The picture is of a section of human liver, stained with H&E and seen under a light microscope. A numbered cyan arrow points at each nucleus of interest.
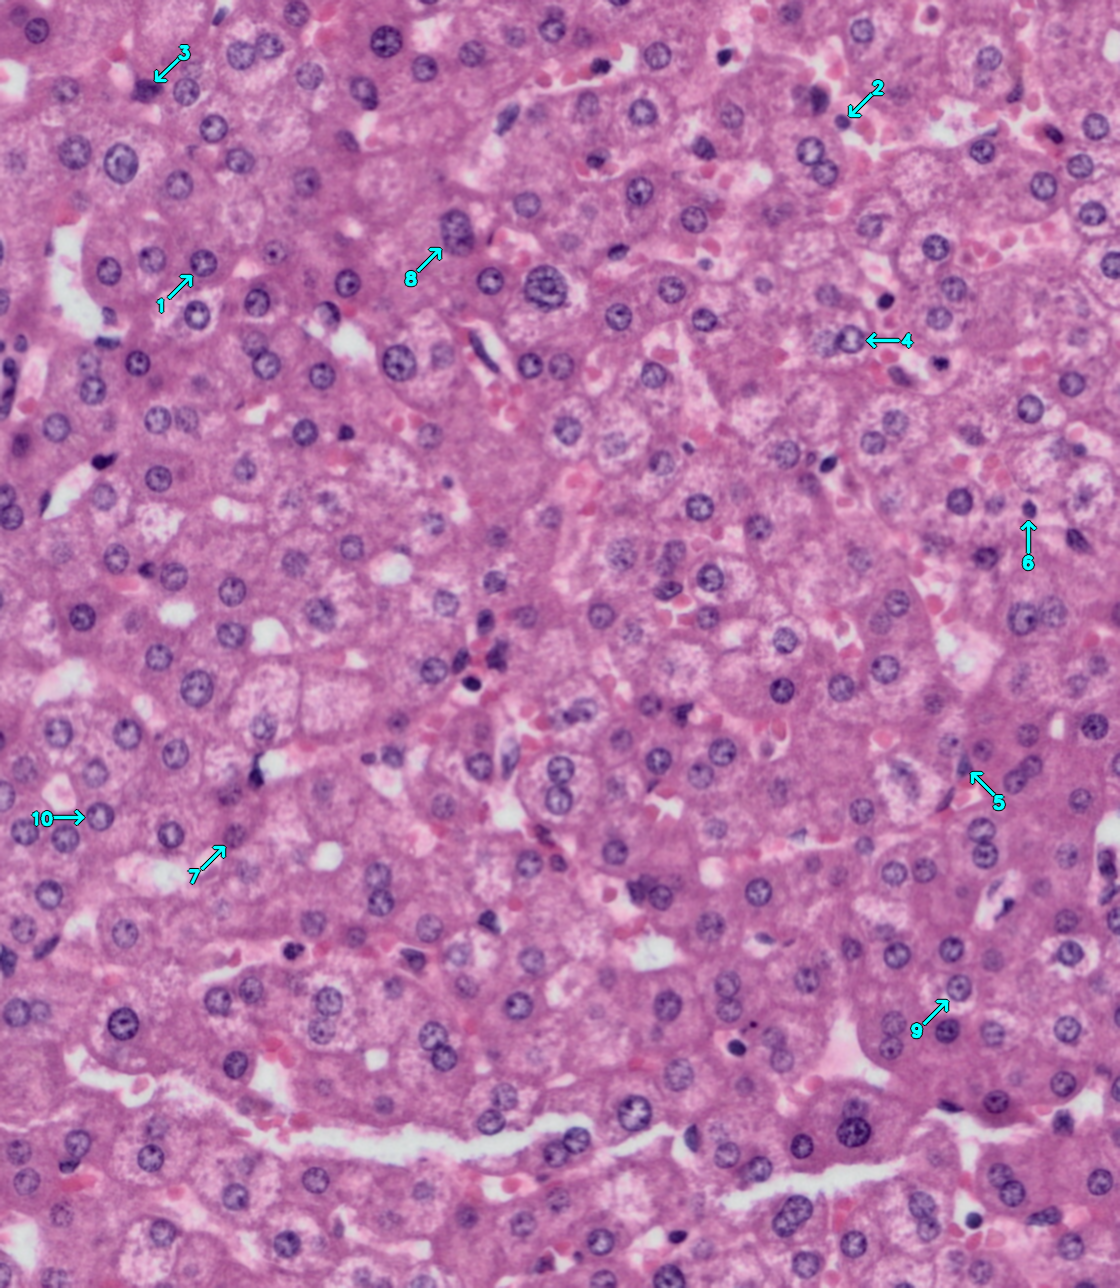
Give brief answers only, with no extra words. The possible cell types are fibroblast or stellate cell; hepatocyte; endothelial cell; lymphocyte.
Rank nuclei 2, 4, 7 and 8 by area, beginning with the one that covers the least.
2, 7, 4, 8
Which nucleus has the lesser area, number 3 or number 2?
2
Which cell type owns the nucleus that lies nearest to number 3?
hepatocyte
